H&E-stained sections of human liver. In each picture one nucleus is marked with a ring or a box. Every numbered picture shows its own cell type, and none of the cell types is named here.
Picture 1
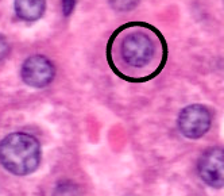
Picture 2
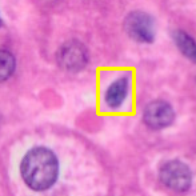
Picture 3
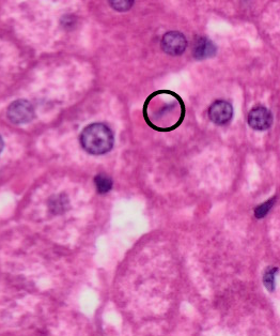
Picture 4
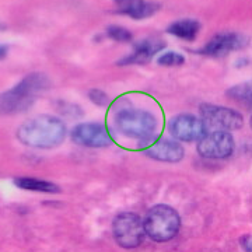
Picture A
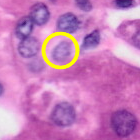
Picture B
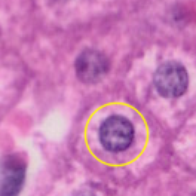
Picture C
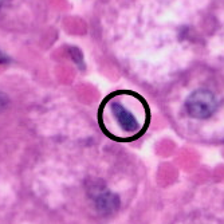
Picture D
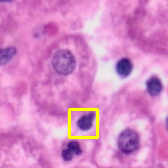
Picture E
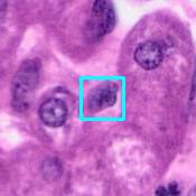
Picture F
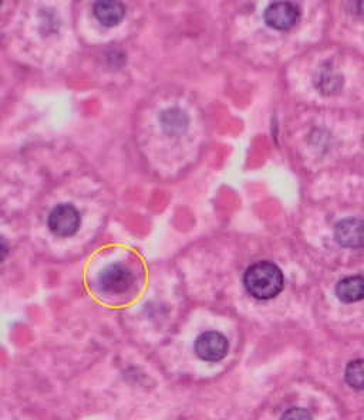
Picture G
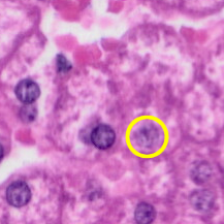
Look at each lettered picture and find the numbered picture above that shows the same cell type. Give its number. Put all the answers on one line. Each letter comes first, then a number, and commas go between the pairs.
A 4, B 1, C 2, D 2, E 3, F 3, G 1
